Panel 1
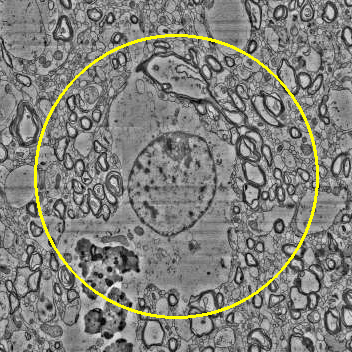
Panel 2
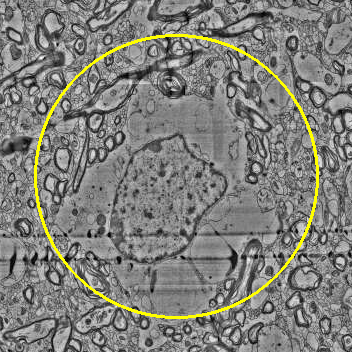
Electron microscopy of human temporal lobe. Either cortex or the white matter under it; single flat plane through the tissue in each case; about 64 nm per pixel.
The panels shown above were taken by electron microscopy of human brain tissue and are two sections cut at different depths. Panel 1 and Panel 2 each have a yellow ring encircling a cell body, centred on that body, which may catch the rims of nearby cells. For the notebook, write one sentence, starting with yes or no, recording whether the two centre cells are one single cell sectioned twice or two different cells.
No, each of the two rings holds a different cell.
